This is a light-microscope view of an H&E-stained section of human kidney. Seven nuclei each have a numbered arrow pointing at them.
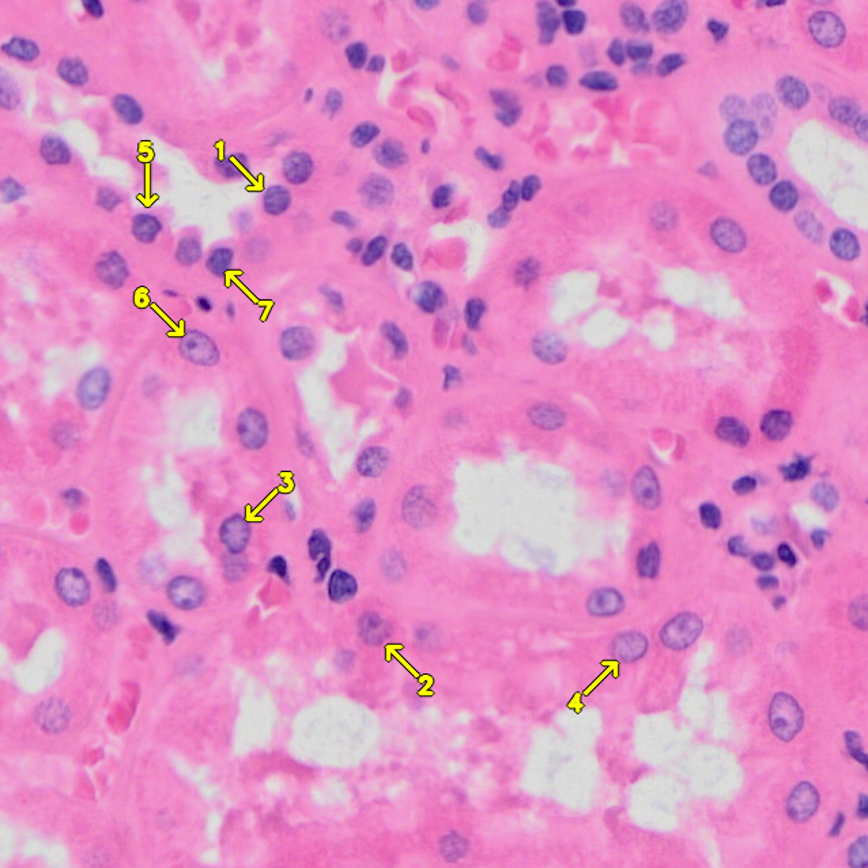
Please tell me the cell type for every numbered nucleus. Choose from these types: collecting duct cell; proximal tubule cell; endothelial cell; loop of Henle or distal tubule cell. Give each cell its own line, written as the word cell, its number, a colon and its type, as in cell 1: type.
cell 1: loop of Henle or distal tubule cell
cell 2: proximal tubule cell
cell 3: proximal tubule cell
cell 4: proximal tubule cell
cell 5: loop of Henle or distal tubule cell
cell 6: proximal tubule cell
cell 7: loop of Henle or distal tubule cell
